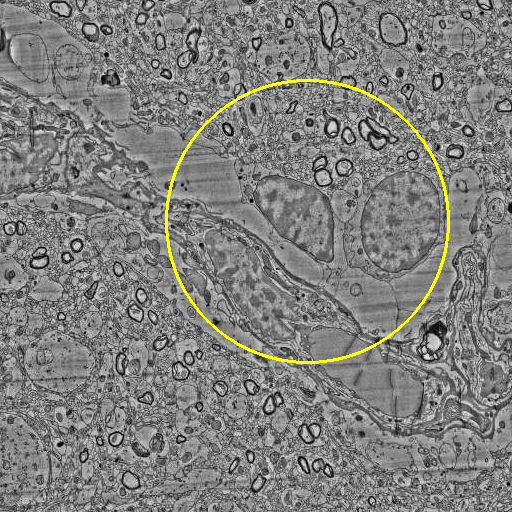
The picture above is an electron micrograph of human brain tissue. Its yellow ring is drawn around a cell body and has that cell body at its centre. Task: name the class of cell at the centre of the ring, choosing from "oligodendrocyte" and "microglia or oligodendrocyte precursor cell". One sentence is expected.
The ring surrounds the body of a microglial cell or oligodendrocyte precursor cell.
